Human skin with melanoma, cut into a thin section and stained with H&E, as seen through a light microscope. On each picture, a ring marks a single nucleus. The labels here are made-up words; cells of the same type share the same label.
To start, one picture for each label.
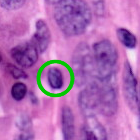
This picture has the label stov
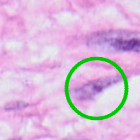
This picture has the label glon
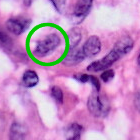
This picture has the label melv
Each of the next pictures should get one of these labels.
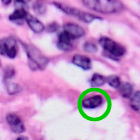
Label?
stov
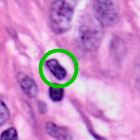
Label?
stov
